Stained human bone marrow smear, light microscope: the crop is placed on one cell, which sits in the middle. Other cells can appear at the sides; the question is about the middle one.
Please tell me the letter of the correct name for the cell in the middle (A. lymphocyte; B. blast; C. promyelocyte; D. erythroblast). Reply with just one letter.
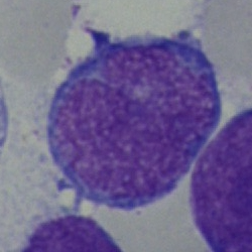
B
